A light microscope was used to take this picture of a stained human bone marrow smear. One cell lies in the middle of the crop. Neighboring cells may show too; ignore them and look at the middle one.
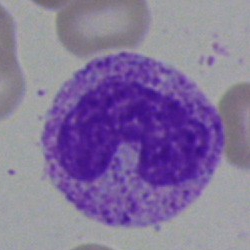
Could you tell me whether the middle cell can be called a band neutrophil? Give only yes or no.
yes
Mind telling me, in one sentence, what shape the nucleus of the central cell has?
There is one compact nucleus, and its shape is round, oval or kidney-like.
